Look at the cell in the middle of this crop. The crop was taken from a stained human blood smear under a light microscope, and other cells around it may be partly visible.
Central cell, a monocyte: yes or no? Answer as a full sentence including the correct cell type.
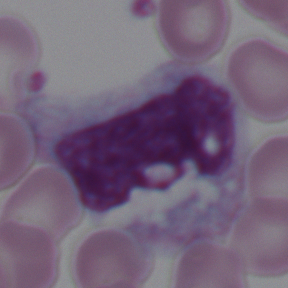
Yes, a monocyte occupies the middle of the crop.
